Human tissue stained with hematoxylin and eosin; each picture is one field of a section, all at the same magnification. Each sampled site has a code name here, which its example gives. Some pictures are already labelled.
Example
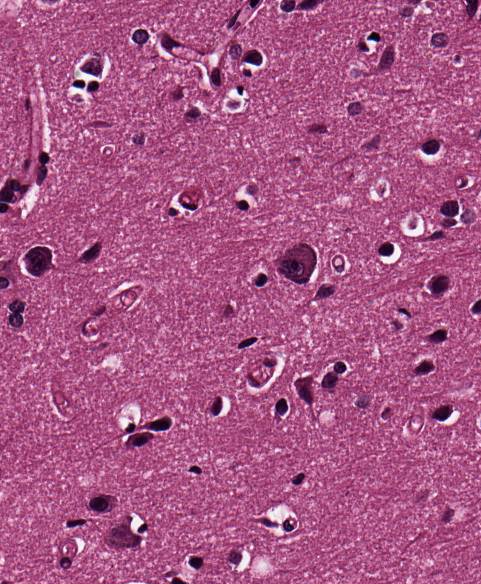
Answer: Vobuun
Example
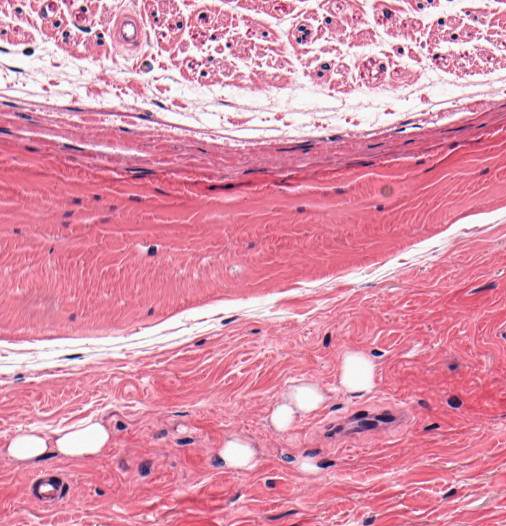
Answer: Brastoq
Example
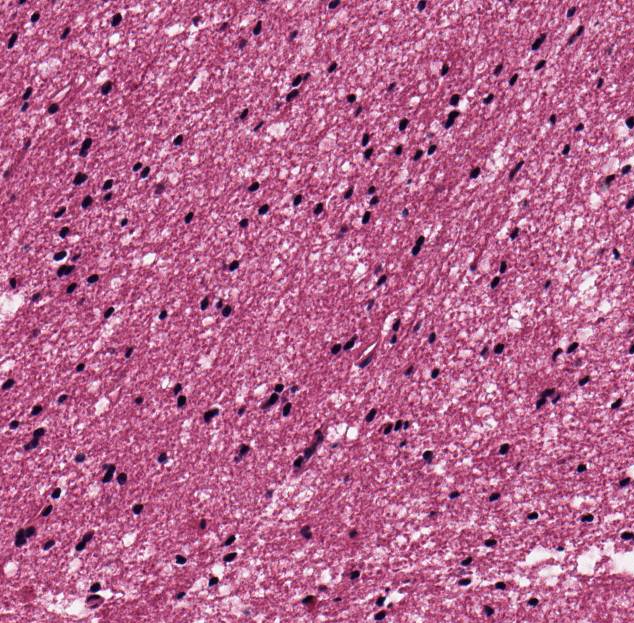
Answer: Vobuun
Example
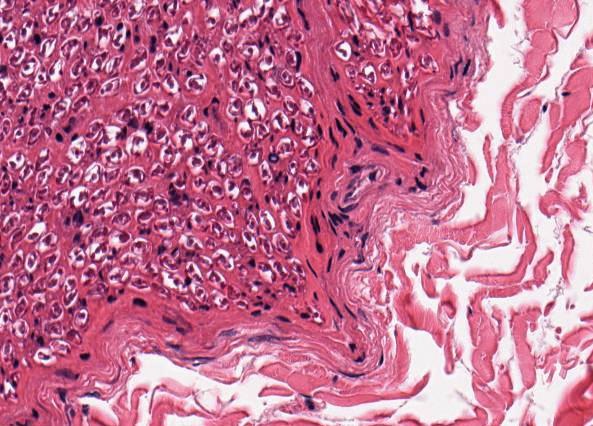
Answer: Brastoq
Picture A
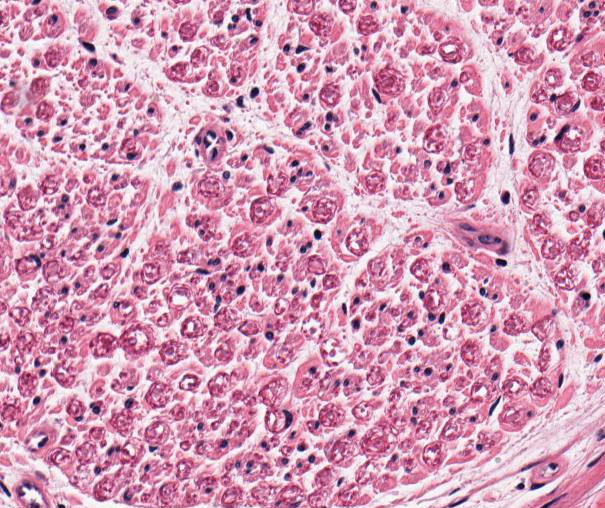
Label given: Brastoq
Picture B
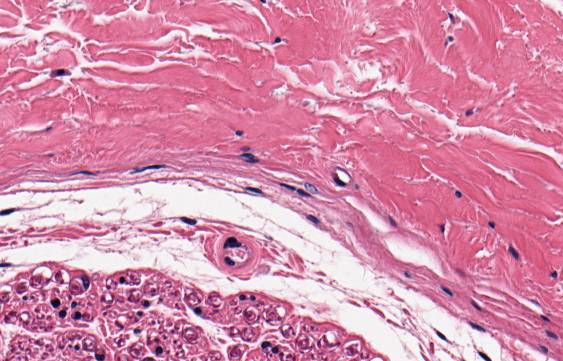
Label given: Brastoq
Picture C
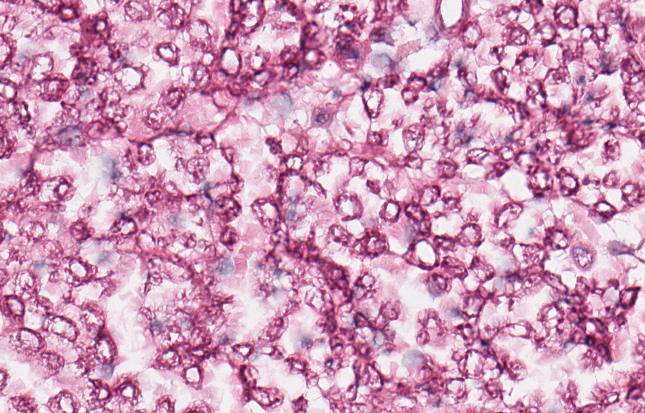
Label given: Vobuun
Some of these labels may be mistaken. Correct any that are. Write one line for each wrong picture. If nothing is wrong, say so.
Wrong: C (Vobuun); correct: Brastoq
